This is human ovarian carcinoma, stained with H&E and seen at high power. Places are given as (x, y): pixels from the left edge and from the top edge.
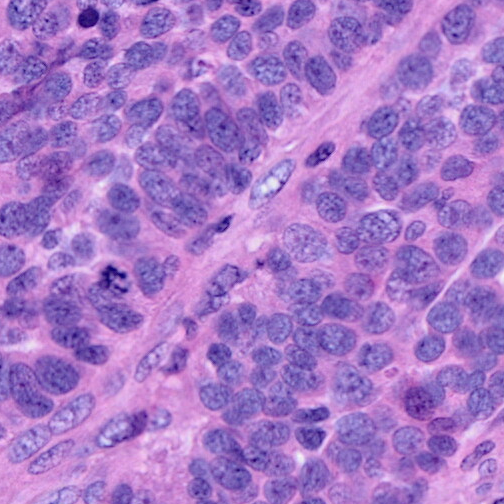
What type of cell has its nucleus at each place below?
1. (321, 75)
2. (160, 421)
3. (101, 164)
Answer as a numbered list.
1. carcinoma cell
2. fibroblast
3. carcinoma cell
